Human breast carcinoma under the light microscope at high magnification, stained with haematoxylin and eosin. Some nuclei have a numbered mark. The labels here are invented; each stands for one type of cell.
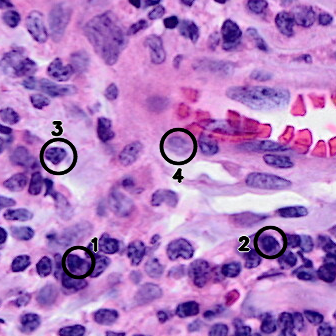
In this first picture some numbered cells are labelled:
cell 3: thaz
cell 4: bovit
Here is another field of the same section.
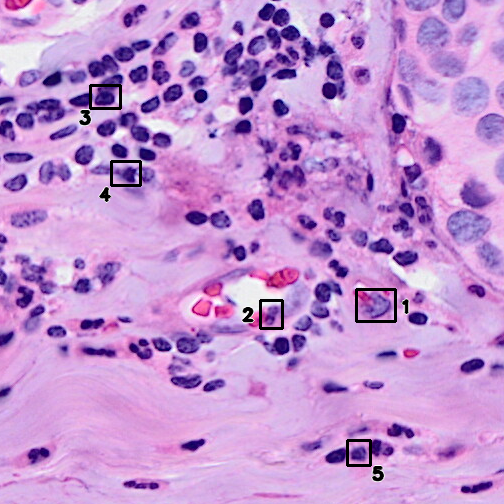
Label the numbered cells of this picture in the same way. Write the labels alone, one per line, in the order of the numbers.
bovit
bovit
thaz
thaz
thaz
